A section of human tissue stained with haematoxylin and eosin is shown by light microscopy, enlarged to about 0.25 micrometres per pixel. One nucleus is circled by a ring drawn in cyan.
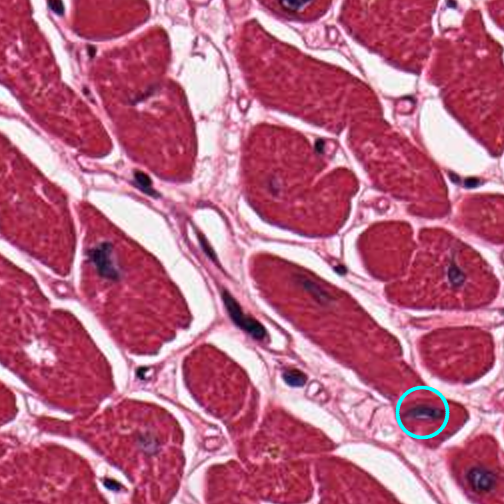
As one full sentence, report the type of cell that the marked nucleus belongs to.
In this section, the marked nucleus is that of a cardiomyocyte.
